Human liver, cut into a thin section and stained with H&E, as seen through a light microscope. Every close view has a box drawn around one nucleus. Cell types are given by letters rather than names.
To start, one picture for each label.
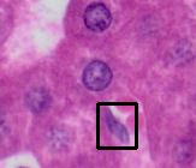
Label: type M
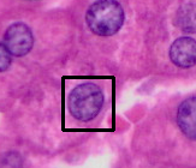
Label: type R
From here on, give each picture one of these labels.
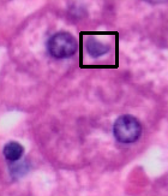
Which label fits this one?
type M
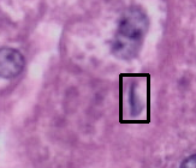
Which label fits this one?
type M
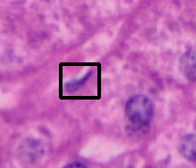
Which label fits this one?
type M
